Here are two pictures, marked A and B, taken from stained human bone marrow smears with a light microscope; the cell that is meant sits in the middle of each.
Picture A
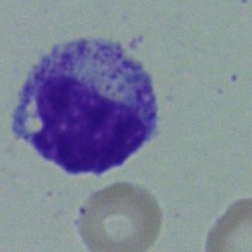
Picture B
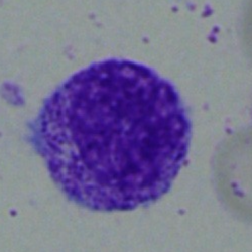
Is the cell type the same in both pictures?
yes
